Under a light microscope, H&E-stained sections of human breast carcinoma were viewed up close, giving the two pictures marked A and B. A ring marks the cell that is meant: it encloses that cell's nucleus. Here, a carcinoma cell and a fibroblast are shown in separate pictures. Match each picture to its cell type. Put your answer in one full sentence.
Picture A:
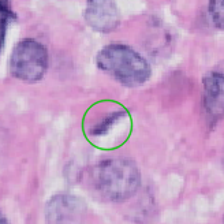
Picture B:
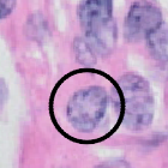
In picture A the cell is a fibroblast; in picture B, a carcinoma cell.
